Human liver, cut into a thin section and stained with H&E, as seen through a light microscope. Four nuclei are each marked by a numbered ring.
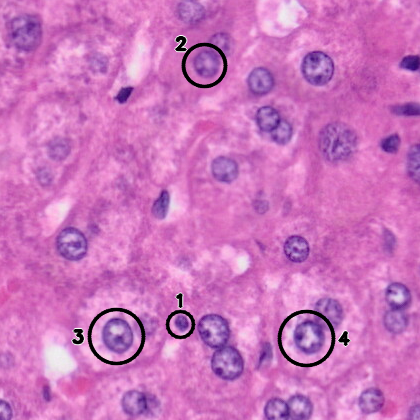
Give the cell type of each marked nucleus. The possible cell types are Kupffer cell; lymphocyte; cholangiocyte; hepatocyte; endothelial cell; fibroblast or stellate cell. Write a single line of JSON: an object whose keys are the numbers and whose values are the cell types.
{"1": "lymphocyte", "2": "hepatocyte", "3": "hepatocyte", "4": "hepatocyte"}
